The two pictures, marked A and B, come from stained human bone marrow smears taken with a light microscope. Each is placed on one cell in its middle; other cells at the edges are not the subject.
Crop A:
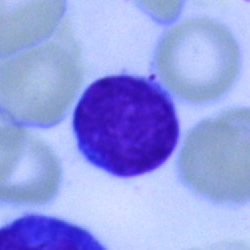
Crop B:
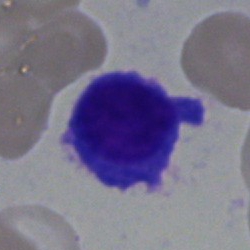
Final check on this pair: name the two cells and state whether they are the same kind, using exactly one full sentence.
No, a lymphocyte is depicted by crop A, a plasma cell by crop B.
